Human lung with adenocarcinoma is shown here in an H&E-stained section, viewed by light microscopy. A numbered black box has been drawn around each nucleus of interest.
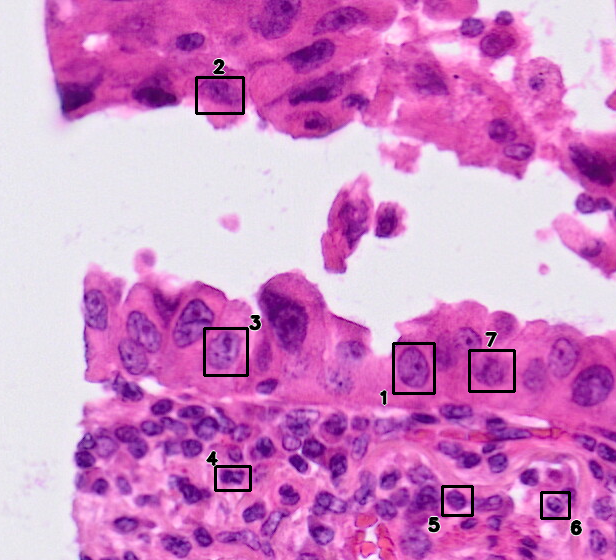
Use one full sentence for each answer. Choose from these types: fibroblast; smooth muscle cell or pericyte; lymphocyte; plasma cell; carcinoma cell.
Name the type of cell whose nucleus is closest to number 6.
The nucleus nearest to number 6 is that of a plasma cell.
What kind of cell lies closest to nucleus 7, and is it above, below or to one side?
It is a carcinoma cell, whose nucleus lies above and to the left of nucleus 7.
